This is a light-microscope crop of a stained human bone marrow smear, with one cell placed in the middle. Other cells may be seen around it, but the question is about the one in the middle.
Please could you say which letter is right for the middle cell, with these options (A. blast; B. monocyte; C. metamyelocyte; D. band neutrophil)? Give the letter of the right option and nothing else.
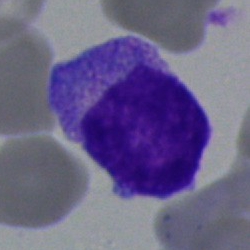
A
